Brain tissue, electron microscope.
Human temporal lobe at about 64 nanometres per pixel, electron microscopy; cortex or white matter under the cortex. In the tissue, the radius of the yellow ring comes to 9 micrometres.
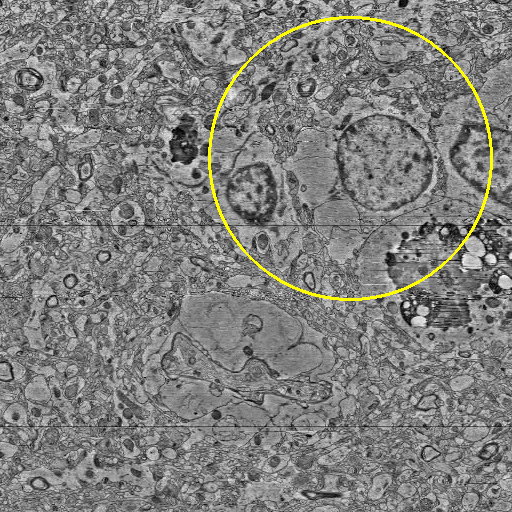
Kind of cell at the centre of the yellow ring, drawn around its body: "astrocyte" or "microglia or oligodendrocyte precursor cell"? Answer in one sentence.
The ring's centre falls on an astrocyte.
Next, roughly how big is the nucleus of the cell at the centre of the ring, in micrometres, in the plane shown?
In this plane the nucleus is about 6 micrometres across.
